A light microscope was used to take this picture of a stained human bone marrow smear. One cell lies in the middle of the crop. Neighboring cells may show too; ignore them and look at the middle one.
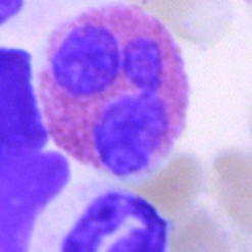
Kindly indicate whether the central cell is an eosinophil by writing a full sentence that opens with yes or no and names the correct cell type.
Yes, the cell sitting in the center is an eosinophil.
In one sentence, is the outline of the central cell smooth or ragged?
Happy to help: the outline is smooth and shows no projections.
